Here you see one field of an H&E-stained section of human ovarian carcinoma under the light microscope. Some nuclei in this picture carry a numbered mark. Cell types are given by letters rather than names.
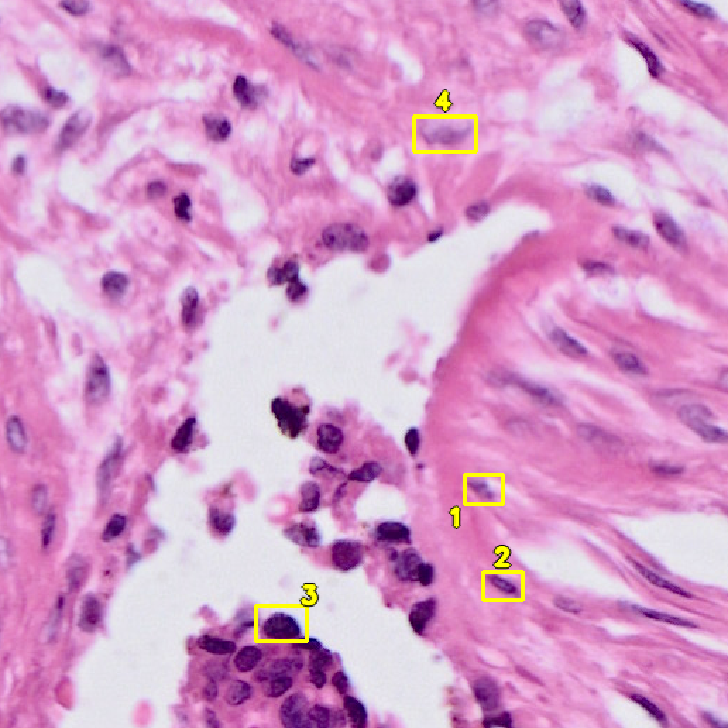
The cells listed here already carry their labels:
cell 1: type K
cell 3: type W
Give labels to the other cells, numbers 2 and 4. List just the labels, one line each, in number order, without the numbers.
type K
type K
